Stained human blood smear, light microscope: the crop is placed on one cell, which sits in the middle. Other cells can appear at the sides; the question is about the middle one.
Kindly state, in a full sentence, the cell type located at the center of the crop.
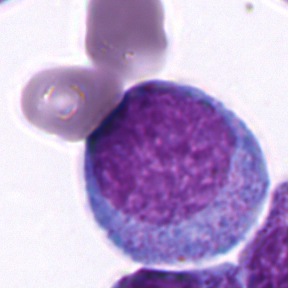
The cell under consideration, at the middle of the crop, is a promyelocyte.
